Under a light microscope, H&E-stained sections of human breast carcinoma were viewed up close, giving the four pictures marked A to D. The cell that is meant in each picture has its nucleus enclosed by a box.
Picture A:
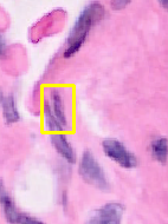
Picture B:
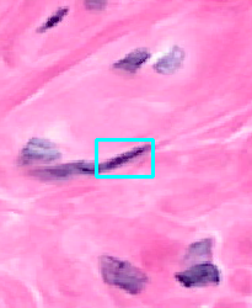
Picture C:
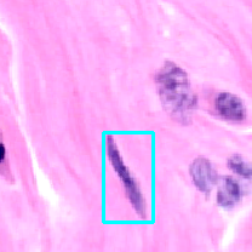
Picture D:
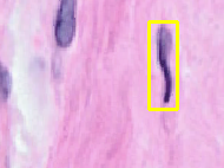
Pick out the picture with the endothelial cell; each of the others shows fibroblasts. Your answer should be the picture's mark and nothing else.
A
